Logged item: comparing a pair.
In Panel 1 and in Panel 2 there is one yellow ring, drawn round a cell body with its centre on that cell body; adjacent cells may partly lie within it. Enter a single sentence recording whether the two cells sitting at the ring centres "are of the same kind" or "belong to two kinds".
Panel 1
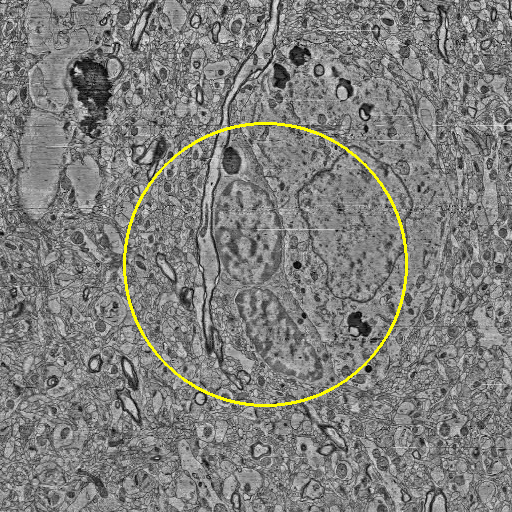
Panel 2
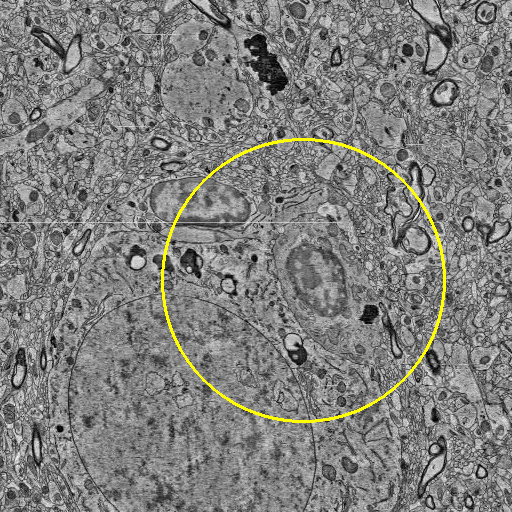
Logged: the cells centred in the rings of Panel 1 and Panel 2 are of the same kind.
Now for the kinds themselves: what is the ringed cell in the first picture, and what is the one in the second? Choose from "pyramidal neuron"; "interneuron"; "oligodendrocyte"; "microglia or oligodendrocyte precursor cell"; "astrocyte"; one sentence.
Each one of the two ringed cells is an oligodendrocyte.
